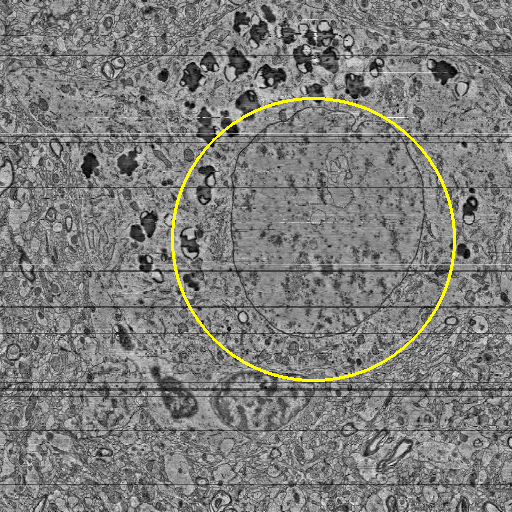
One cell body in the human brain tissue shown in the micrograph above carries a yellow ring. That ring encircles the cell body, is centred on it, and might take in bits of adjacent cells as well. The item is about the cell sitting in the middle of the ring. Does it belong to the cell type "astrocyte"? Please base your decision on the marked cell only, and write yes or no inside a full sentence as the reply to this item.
No, the cell in the centre of the yellow ring belongs to a different kind.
